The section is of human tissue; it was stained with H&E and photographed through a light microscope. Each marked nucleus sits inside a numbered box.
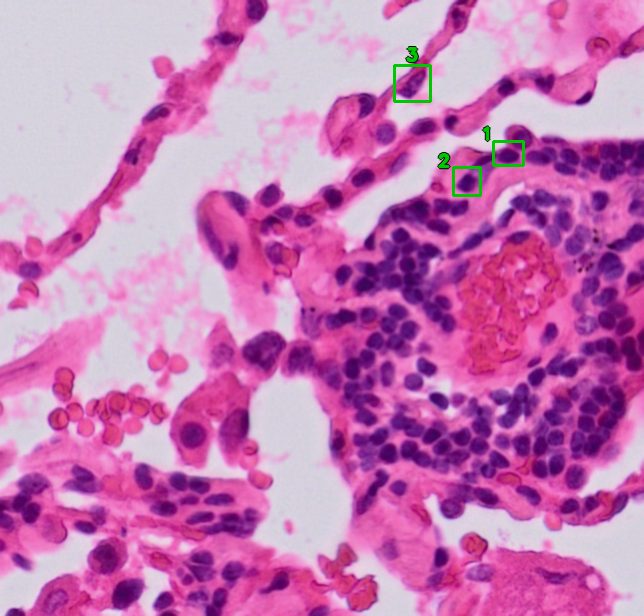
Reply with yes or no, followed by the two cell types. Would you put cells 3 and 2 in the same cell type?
No, that's off: cell 3 is a type I pneumocyte and cell 2 is a lymphocyte.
